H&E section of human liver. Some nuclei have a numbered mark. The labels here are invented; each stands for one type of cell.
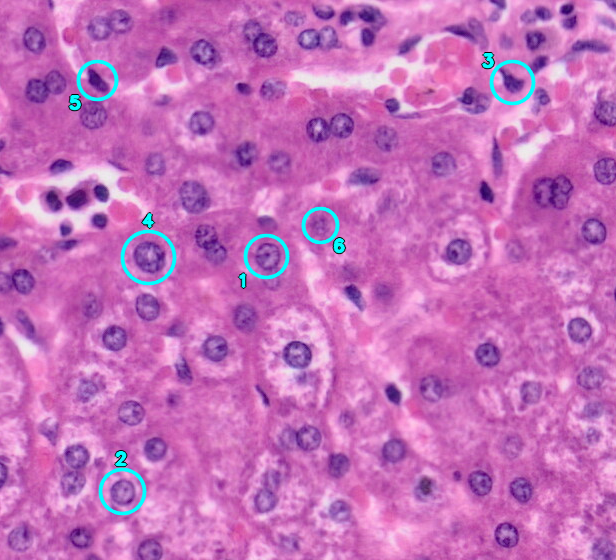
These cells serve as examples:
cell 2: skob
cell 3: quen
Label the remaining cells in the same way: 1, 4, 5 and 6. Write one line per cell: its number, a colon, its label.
1: skob
4: skob
5: quen
6: skob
